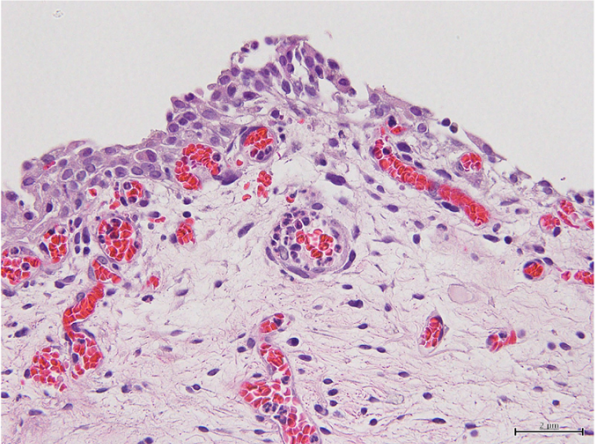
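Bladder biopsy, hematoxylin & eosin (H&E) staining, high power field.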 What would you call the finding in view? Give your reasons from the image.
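The stroma under the surface is pale and loose with wispy fibres. Stromal nuclei lie far apart in a pale background. That points to this answer: stromal edema.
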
